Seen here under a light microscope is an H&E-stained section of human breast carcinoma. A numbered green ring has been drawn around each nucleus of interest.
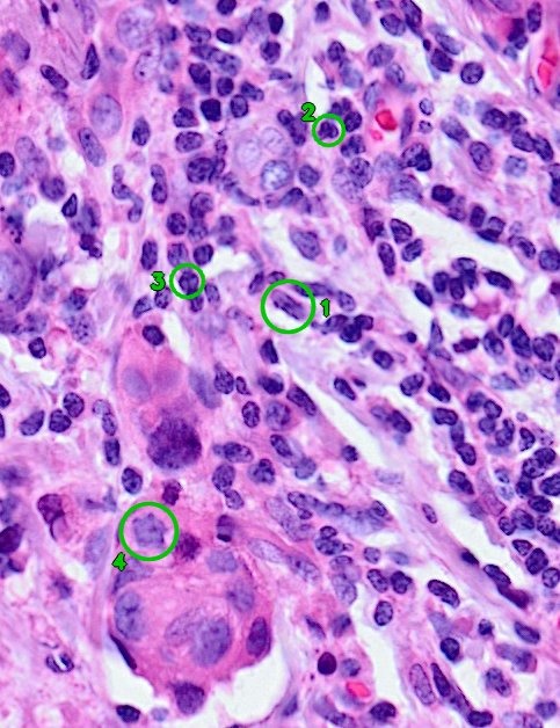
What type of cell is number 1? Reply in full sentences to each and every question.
The cell referenced by the number 1 is a lymphocyte in this field.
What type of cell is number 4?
Belonging to a carcinoma cell is the nucleus that carries the number 4.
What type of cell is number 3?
Cell 3, as marked in the section, is a lymphocyte.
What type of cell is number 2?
The cell referenced by the number 2 is a lymphocyte in this field.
